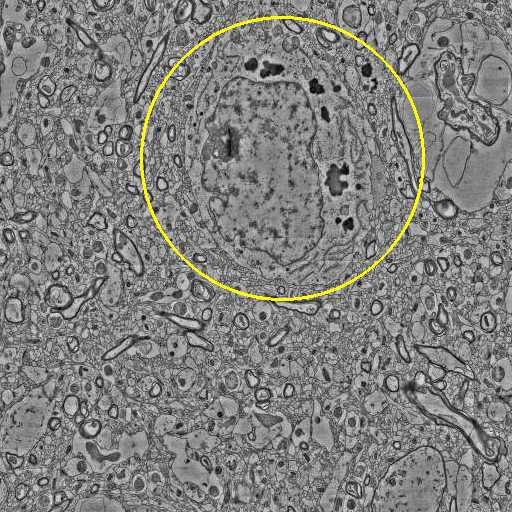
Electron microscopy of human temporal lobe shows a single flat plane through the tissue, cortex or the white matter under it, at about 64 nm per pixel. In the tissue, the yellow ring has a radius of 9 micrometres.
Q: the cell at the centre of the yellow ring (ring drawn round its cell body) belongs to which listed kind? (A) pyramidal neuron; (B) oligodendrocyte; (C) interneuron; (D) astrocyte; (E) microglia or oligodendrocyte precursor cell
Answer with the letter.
C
